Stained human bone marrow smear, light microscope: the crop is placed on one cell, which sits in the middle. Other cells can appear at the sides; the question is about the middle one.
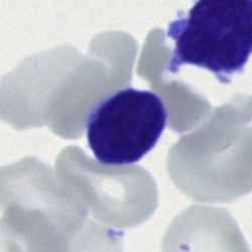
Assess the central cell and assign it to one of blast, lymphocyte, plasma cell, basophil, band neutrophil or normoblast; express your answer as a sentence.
The cell of interest, in the center, is a lymphocyte.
